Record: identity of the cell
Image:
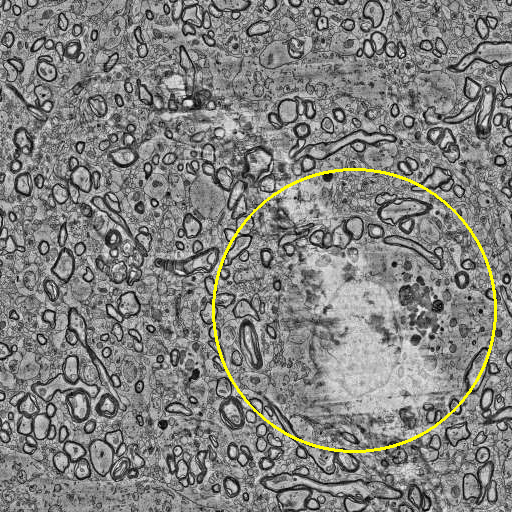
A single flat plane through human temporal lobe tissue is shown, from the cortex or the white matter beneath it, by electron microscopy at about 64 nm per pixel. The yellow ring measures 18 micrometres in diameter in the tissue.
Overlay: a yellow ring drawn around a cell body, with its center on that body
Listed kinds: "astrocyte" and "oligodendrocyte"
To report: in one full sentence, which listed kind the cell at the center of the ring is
In the image, the cell body at the ring's center belongs to an astrocyte.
